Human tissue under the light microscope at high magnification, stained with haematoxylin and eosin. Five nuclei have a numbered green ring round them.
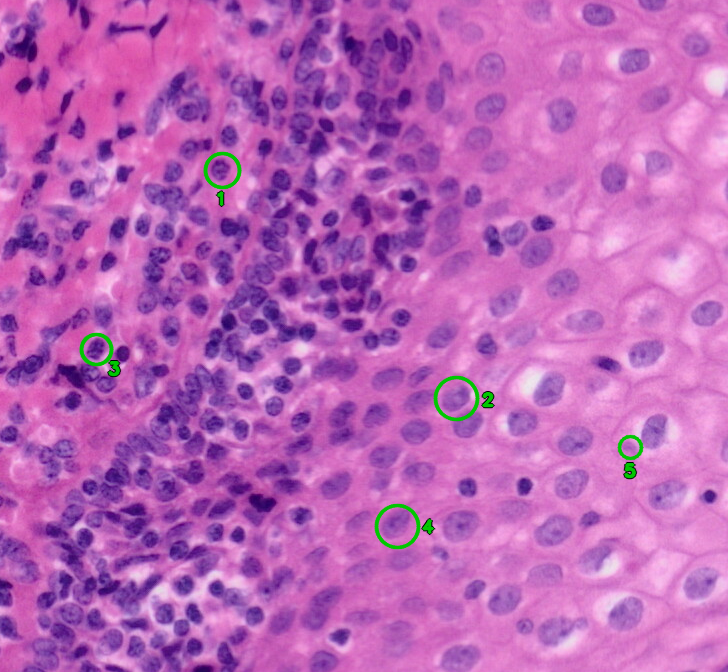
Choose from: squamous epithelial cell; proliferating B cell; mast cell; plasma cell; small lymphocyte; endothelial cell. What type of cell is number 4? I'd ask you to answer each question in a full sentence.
In the tissue shown, cell 4 is a squamous epithelial cell.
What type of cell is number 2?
Cell 2 in the field of view is a squamous epithelial cell.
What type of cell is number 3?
Of the numbered cells, the one labelled 3 is a plasma cell.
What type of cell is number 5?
What the number 5 marks in this field is a squamous epithelial cell.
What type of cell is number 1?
The cell numbered 1 represents a plasma cell.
